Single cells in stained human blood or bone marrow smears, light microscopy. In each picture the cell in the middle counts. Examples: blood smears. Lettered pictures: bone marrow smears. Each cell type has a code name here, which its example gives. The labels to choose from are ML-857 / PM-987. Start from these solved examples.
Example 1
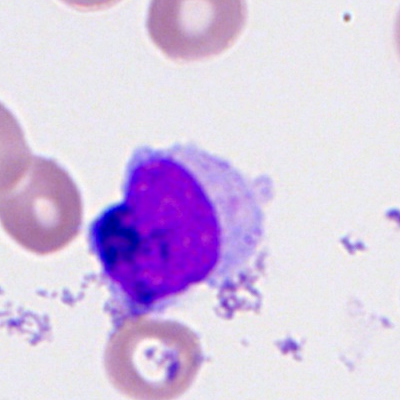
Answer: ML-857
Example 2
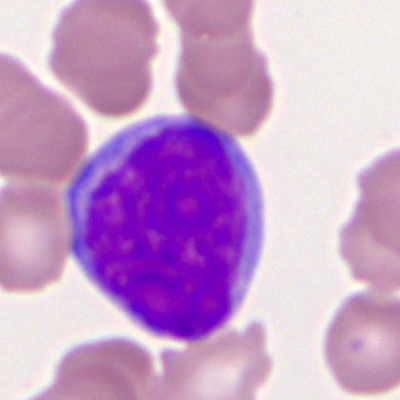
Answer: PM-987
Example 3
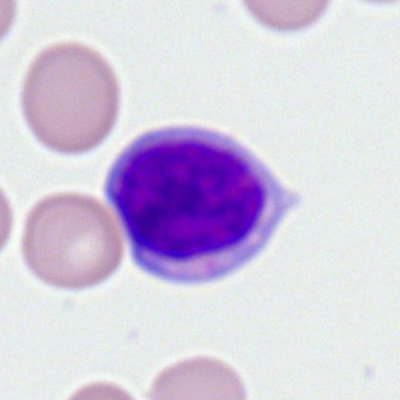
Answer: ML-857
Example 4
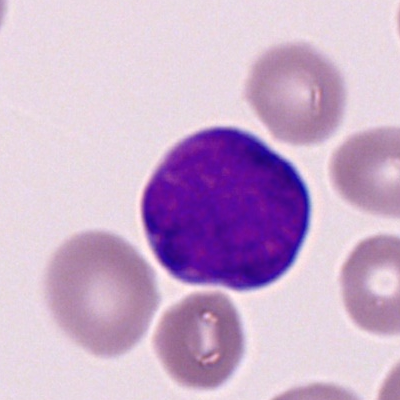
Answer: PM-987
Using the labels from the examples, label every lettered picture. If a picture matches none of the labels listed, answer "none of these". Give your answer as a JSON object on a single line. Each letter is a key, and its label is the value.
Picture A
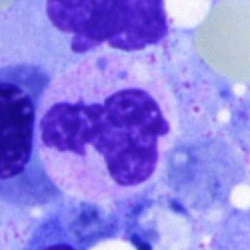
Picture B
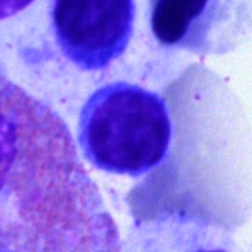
{"A": "none of these", "B": "ML-857"}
